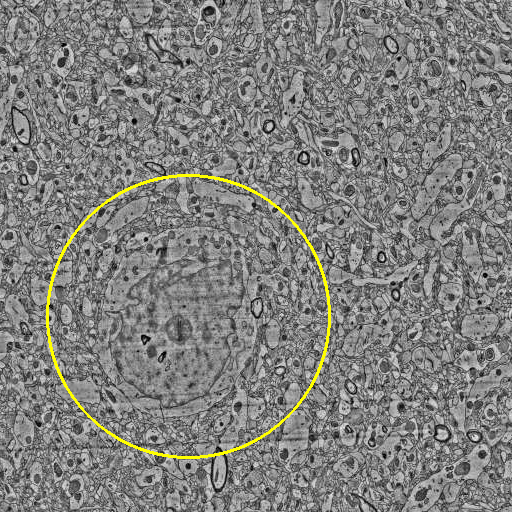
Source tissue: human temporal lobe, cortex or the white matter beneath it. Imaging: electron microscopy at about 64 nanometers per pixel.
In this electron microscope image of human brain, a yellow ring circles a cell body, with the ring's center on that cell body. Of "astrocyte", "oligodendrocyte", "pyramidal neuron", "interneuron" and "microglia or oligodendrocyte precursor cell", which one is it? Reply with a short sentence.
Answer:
It is an interneuron at the center of the ring.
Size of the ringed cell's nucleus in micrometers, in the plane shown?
The nucleus appears roughly 10 by 8 micrometres in this plane.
